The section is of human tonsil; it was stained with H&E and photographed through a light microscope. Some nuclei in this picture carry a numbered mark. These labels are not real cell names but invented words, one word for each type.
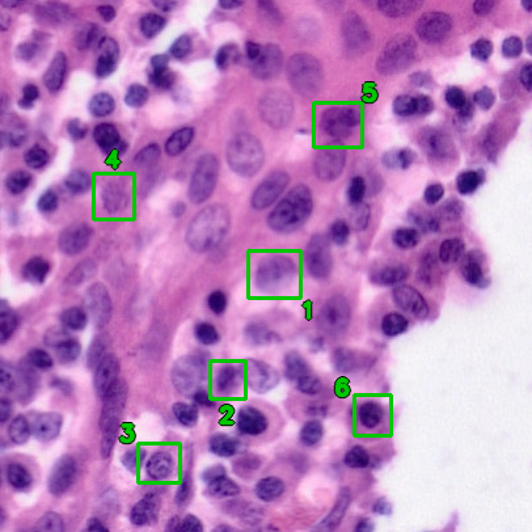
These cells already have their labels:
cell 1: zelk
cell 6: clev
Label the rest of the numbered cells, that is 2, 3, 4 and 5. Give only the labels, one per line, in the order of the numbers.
zelk
clev
zelk
zelk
